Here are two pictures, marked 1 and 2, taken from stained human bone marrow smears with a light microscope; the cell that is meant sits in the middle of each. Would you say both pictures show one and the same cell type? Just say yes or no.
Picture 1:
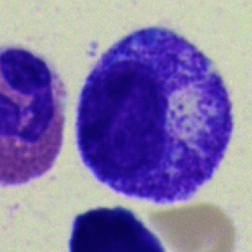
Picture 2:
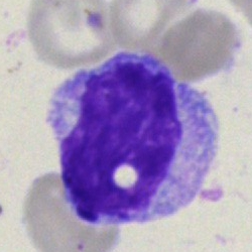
no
